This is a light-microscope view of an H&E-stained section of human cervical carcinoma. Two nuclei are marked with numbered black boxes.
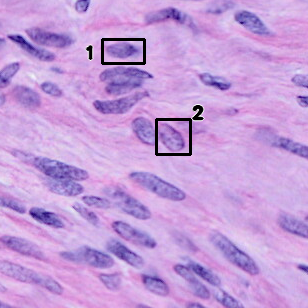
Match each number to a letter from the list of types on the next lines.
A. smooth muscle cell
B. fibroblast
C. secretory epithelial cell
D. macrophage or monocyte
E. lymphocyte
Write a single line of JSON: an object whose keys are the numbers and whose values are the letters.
{"1": "B", "2": "A"}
